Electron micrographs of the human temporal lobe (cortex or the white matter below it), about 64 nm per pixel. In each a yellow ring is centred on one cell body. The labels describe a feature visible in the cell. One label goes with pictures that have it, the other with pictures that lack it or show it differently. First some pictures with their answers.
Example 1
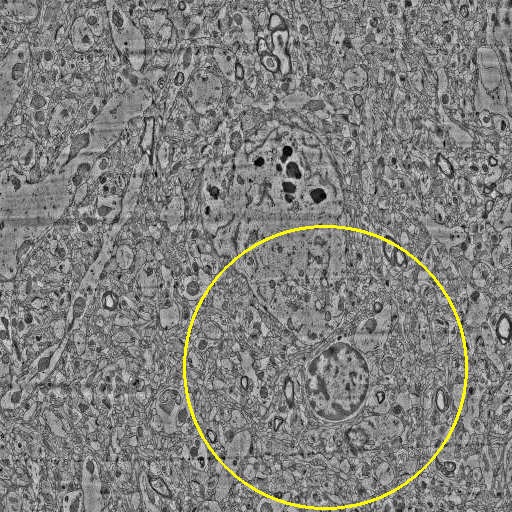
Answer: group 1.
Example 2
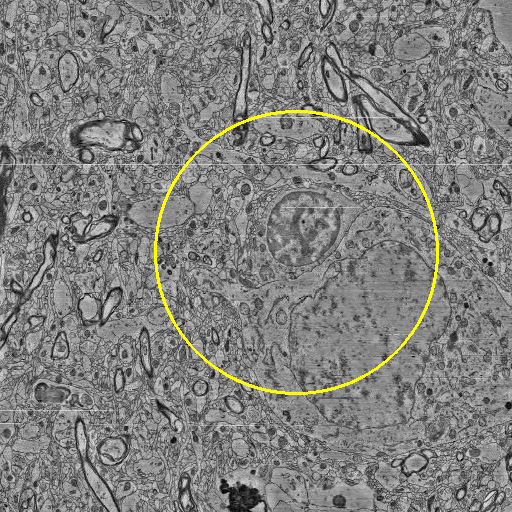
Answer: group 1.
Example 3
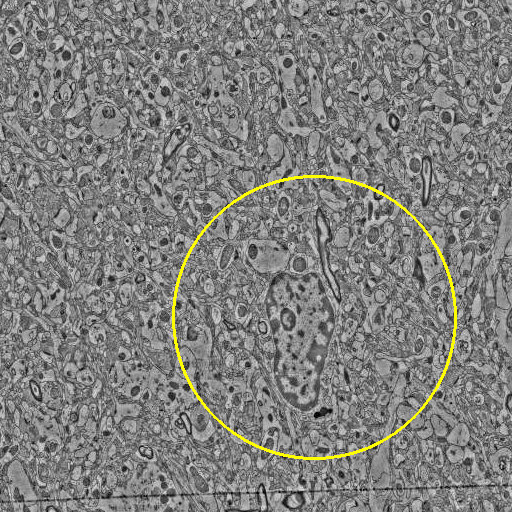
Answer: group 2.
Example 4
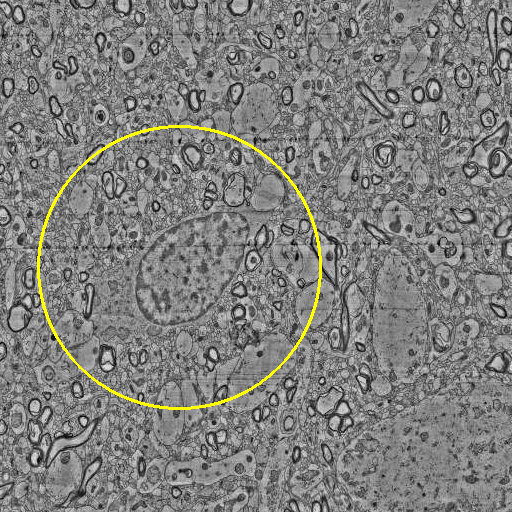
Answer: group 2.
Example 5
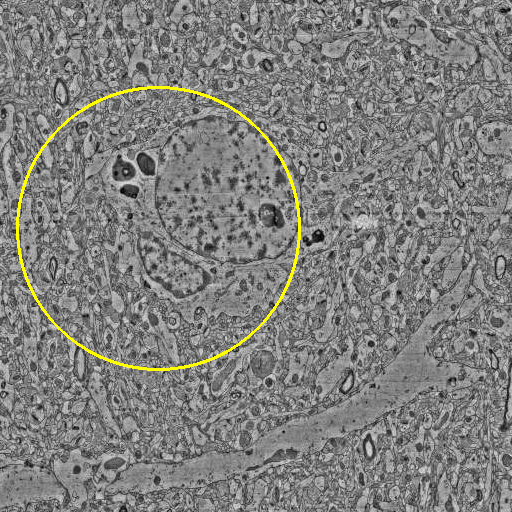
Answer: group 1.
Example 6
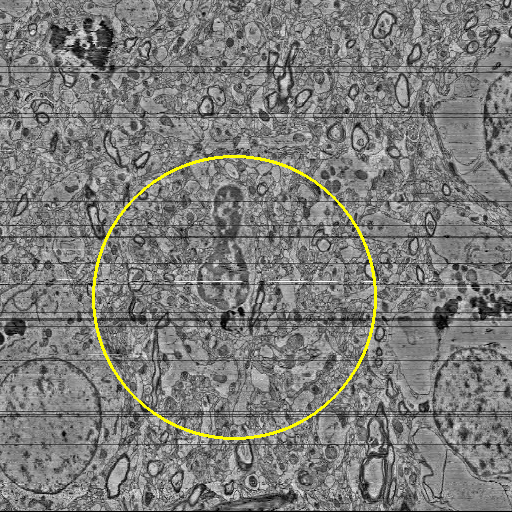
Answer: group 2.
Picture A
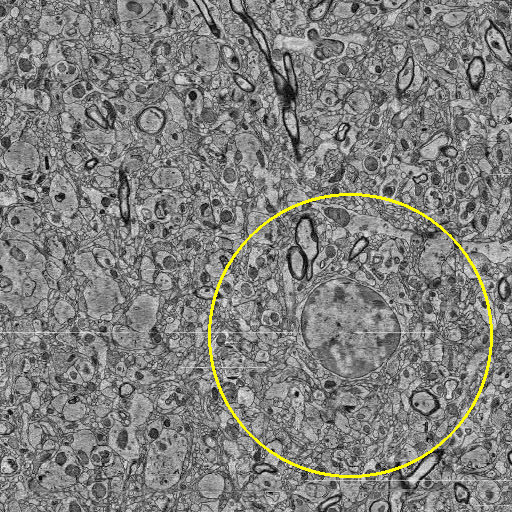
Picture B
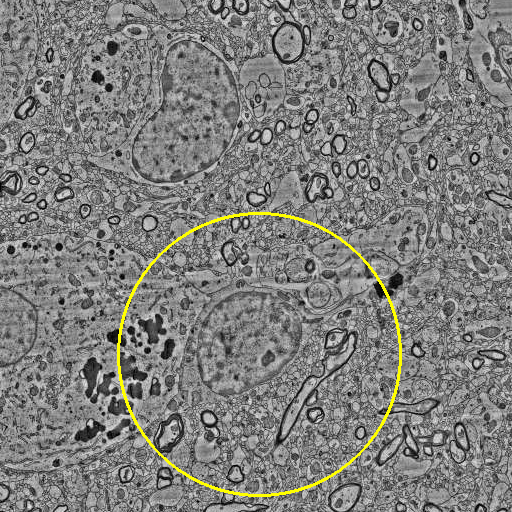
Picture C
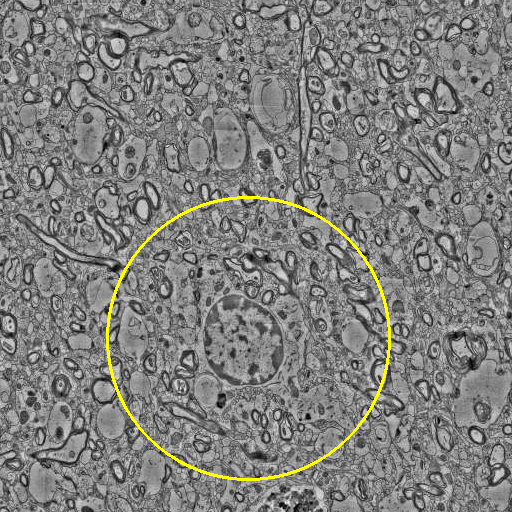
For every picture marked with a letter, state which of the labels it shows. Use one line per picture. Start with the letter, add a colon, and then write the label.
A: group 1.
B: group 1.
C: group 1.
